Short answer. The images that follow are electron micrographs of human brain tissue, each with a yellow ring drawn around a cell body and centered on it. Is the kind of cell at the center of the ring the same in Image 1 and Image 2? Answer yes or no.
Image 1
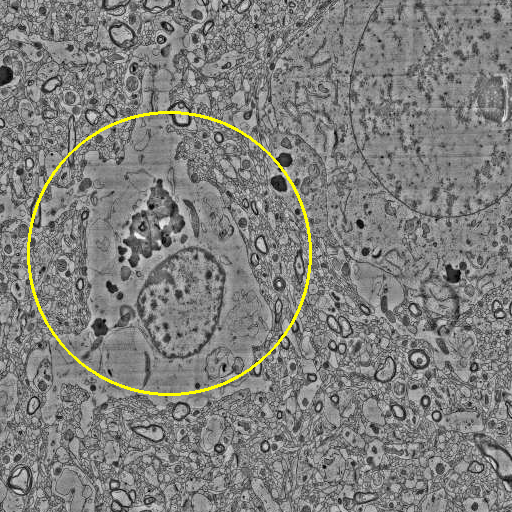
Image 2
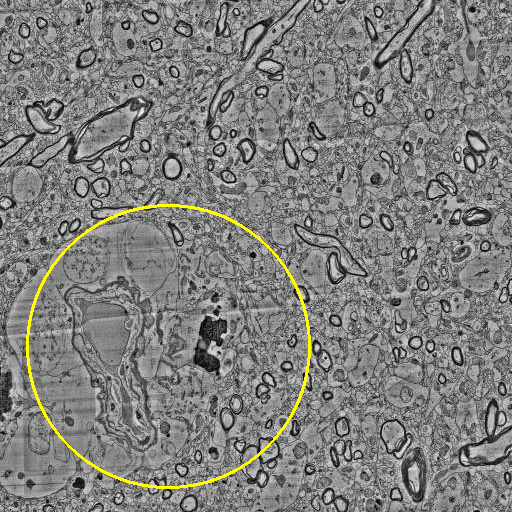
no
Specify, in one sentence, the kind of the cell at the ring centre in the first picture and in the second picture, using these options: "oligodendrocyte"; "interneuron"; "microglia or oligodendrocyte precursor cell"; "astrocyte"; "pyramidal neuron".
So the first is an astrocyte, the second an oligodendrocyte.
